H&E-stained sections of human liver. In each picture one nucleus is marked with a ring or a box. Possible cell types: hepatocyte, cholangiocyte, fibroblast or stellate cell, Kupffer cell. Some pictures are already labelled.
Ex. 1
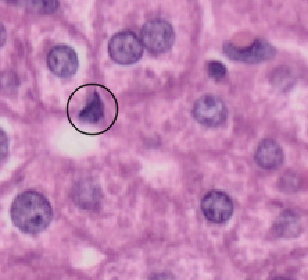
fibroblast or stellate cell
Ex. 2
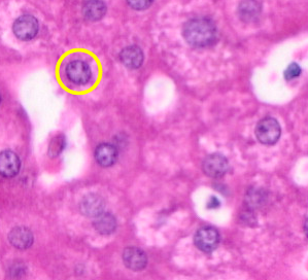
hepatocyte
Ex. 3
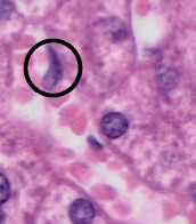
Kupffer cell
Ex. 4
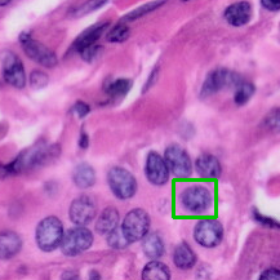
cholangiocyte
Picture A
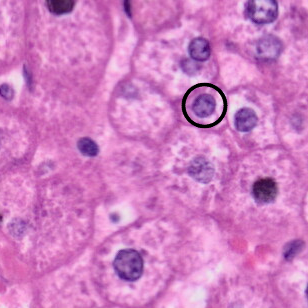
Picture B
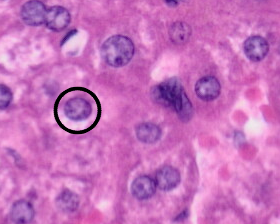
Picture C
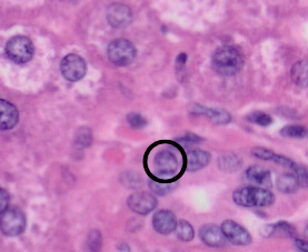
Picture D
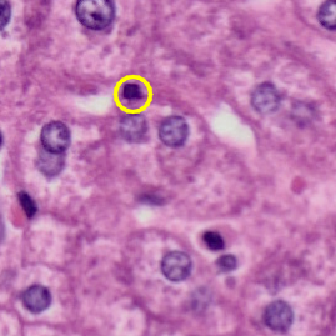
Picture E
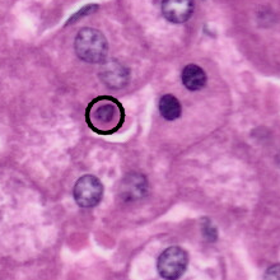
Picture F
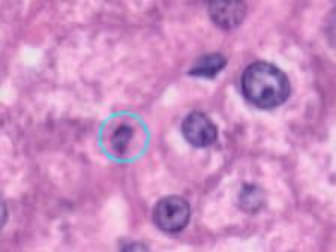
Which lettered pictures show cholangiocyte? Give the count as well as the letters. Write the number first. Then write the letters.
1: C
